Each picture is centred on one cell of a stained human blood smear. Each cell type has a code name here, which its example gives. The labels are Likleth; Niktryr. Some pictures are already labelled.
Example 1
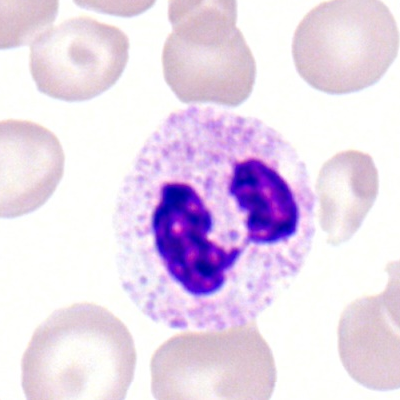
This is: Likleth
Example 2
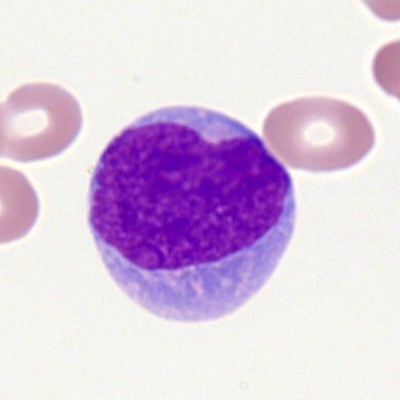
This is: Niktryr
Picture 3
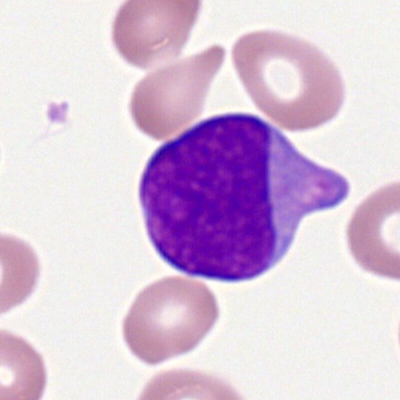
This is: Niktryr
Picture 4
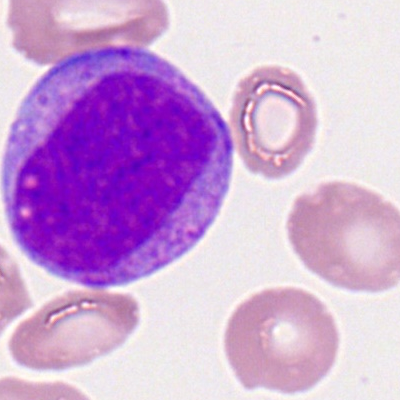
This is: Niktryr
